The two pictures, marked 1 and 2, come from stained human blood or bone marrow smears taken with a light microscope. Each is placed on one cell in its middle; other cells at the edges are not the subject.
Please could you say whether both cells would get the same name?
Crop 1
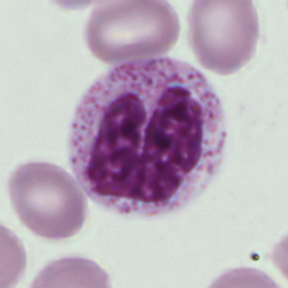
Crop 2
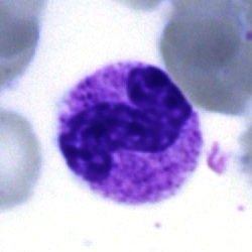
yes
